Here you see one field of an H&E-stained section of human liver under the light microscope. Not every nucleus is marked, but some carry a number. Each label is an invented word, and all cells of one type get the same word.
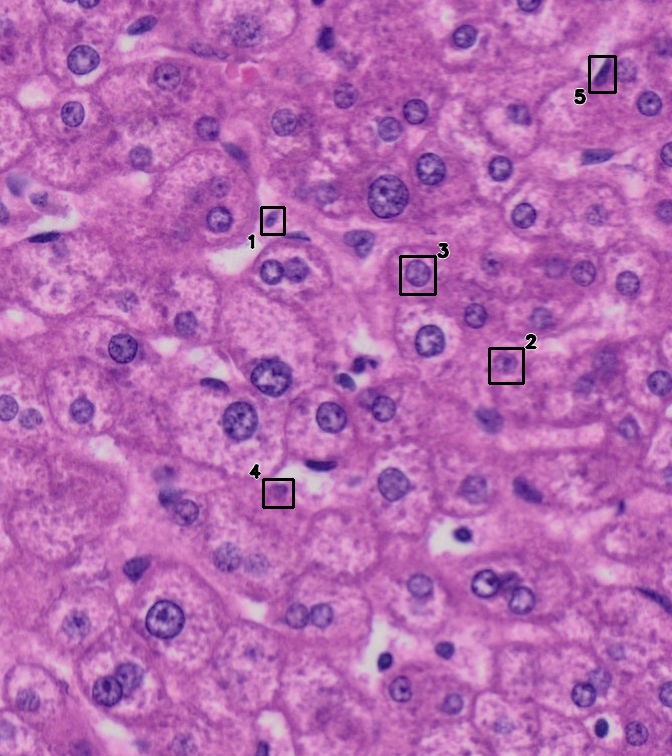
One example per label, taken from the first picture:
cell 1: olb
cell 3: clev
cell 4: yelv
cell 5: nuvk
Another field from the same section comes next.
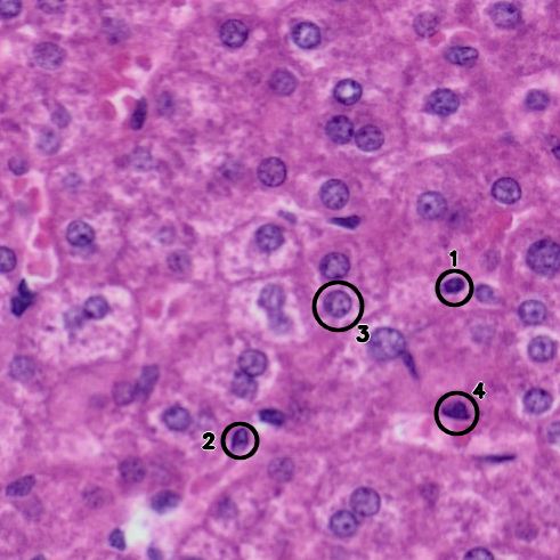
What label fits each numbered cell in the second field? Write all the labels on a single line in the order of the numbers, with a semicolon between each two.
olb; yelv; clev; nuvk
